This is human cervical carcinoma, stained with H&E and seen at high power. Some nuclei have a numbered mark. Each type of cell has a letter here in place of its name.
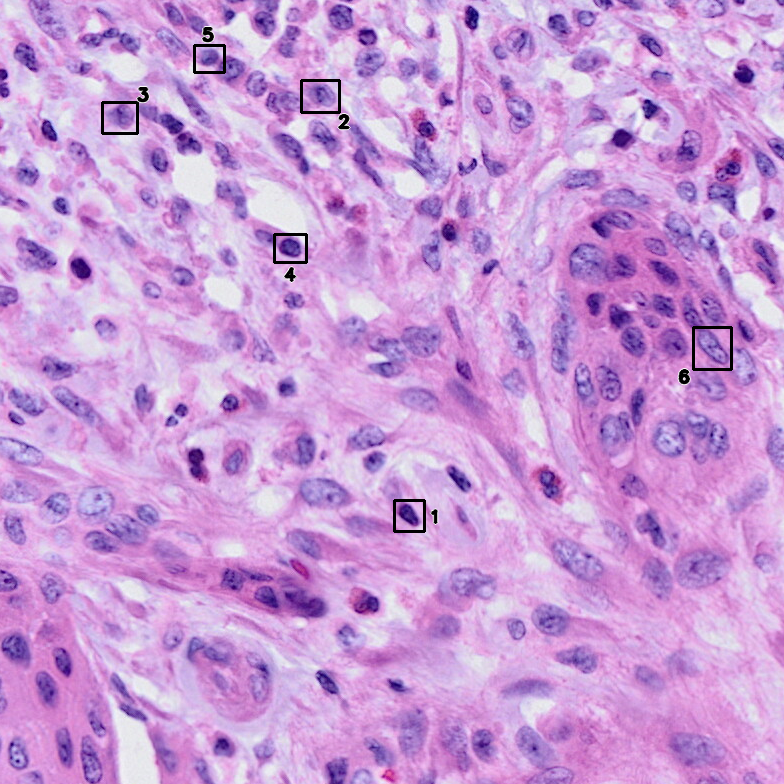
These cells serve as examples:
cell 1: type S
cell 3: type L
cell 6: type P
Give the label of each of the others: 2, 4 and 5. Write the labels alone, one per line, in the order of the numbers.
type L
type S
type S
